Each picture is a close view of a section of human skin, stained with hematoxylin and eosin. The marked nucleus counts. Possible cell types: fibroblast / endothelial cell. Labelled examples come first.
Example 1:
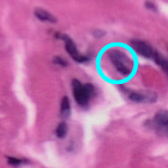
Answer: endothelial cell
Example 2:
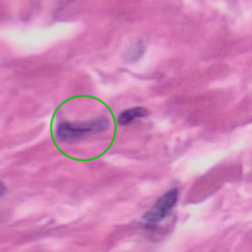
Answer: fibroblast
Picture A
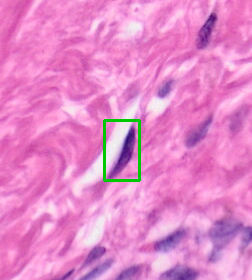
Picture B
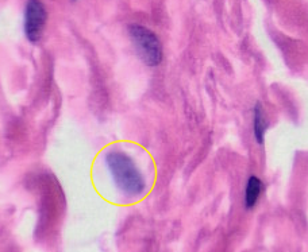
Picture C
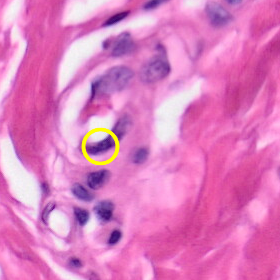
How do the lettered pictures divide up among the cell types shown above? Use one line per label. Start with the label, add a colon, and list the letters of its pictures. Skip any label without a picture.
fibroblast: A, B
endothelial cell: C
